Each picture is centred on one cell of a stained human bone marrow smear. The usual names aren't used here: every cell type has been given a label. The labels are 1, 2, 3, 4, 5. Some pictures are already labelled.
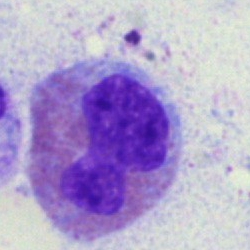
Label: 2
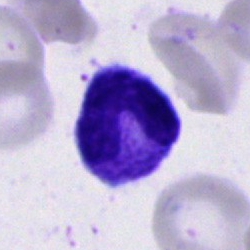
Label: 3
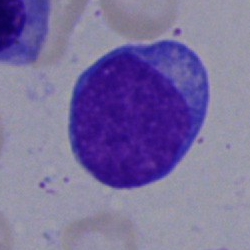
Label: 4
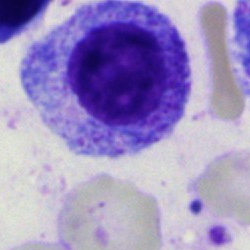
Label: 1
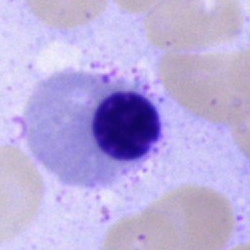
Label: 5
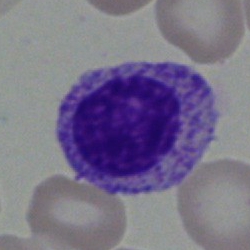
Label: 1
